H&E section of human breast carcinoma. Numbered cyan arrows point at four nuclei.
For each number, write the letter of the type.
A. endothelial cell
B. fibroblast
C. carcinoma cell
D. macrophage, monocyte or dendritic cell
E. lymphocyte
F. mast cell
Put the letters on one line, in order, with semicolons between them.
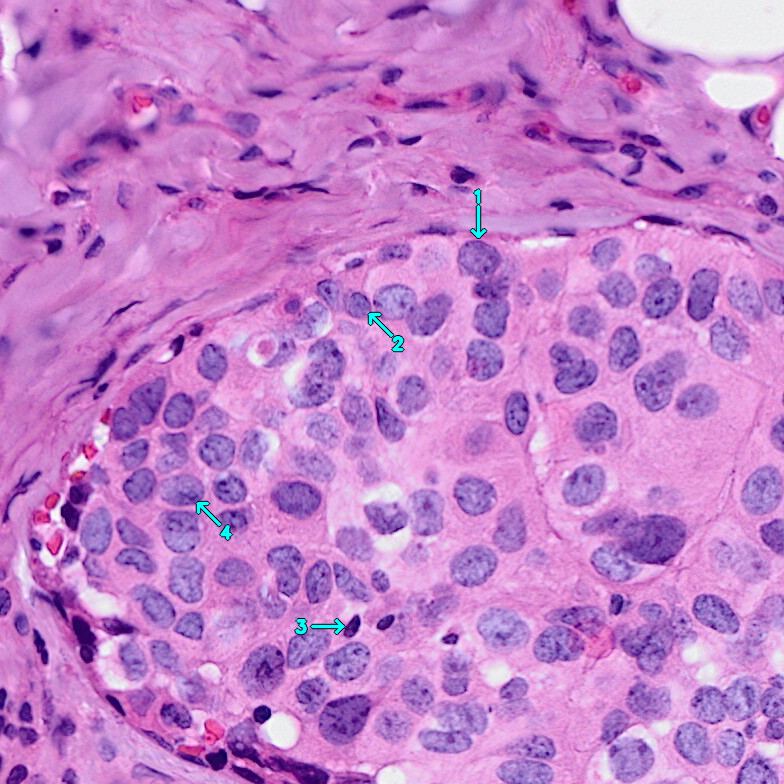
C; C; E; C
